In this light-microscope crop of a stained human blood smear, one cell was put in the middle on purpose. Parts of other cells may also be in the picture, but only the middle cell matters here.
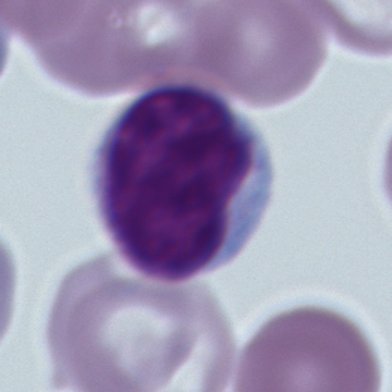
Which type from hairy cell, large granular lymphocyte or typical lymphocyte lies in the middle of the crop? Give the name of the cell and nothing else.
typical lymphocyte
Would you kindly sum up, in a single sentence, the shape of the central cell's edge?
If you check the edge, you will find it smooth without projections.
